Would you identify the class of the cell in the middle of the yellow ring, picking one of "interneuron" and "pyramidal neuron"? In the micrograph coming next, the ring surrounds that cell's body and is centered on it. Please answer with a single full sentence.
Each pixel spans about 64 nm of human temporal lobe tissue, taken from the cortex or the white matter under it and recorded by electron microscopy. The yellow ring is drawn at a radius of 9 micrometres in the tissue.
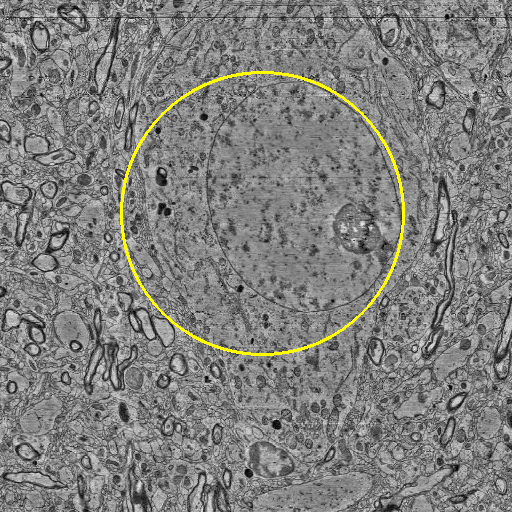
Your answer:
In the micrograph, it is a pyramidal neuron whose body lies at the ring's center.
